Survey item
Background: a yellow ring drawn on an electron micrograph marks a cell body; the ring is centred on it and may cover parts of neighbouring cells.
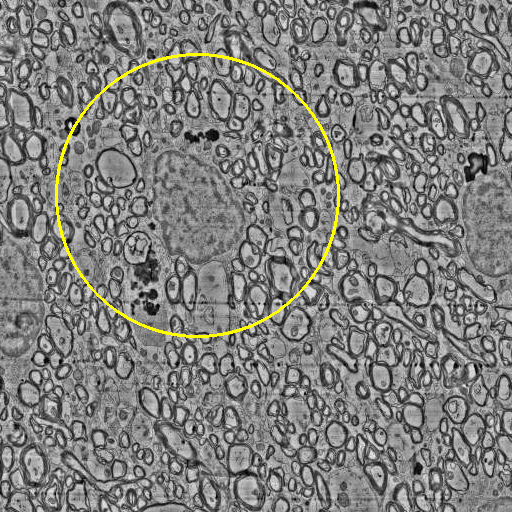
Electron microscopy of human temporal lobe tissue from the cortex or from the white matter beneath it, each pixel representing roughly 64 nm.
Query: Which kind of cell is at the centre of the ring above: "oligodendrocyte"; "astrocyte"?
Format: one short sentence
The cell in the middle of the ring is an oligodendrocyte.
